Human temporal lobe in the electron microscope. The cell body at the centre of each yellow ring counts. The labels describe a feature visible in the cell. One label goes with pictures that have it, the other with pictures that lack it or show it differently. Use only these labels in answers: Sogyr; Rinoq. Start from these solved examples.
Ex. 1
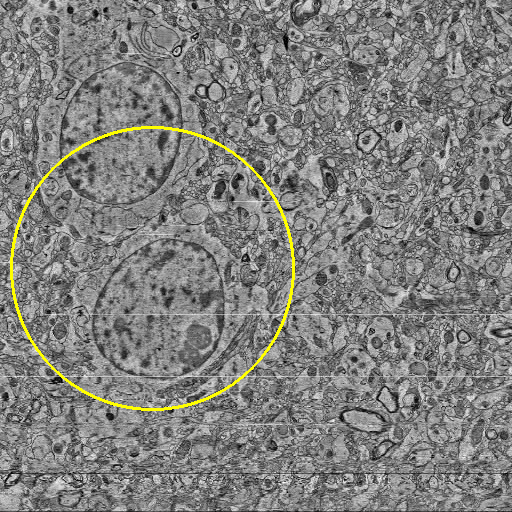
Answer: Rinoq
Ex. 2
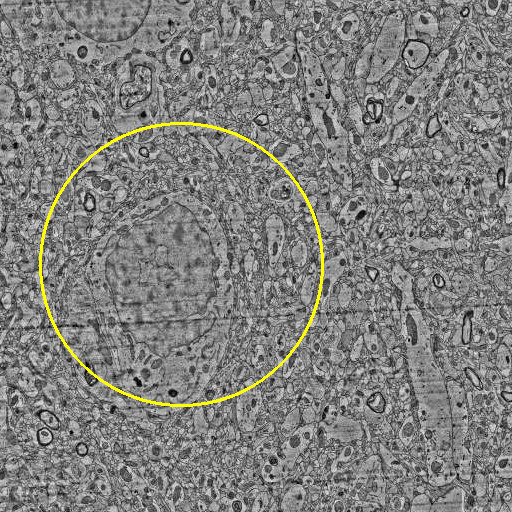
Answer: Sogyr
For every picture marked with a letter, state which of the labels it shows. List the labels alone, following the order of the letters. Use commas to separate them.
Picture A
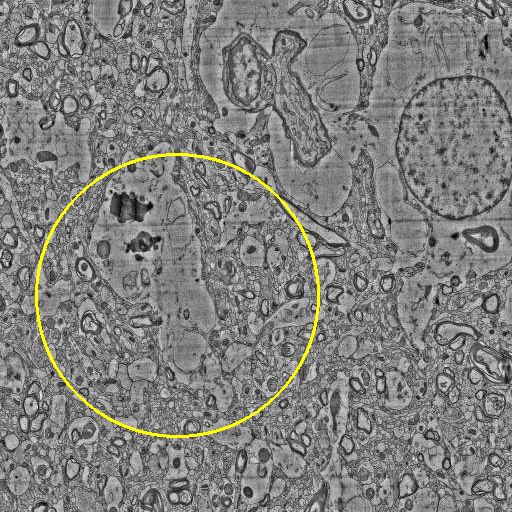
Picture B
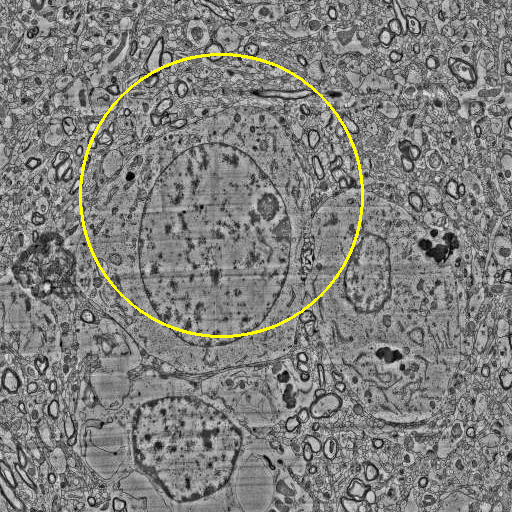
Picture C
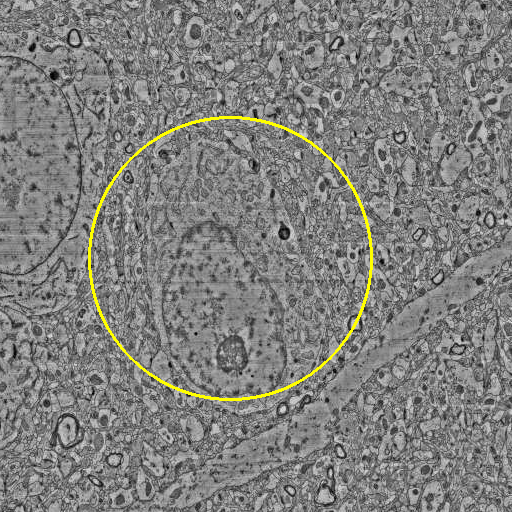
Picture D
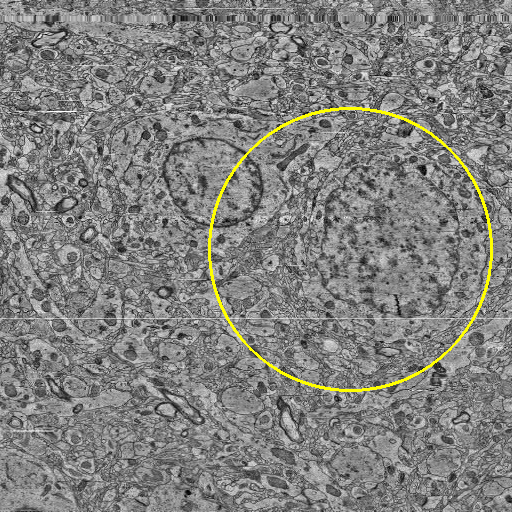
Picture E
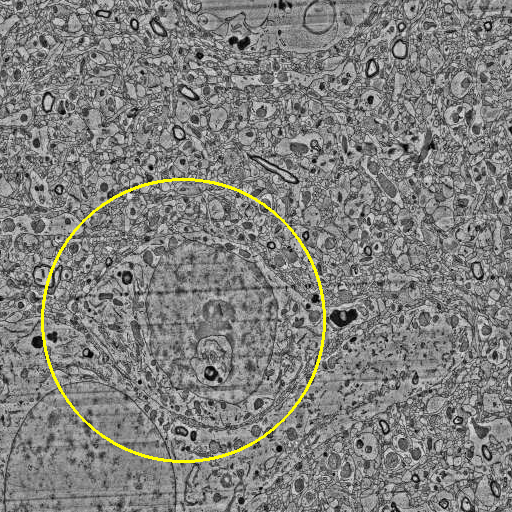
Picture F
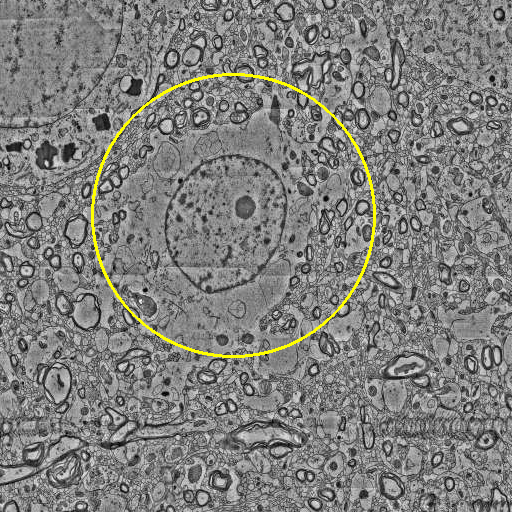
Sogyr, Rinoq, Rinoq, Sogyr, Rinoq, Rinoq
